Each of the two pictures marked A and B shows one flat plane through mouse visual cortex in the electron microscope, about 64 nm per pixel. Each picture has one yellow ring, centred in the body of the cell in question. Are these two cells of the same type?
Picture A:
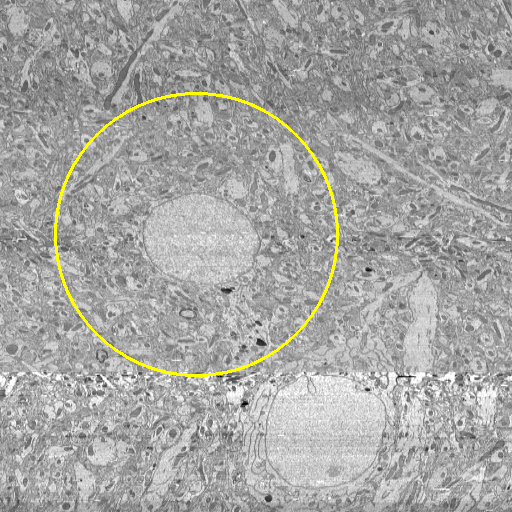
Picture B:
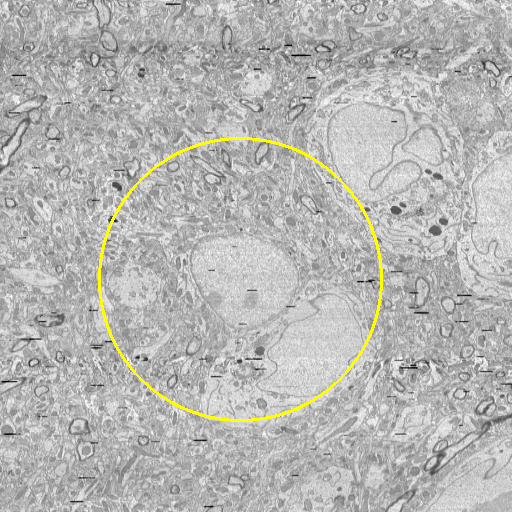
Yes, both cells are astrocytes.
